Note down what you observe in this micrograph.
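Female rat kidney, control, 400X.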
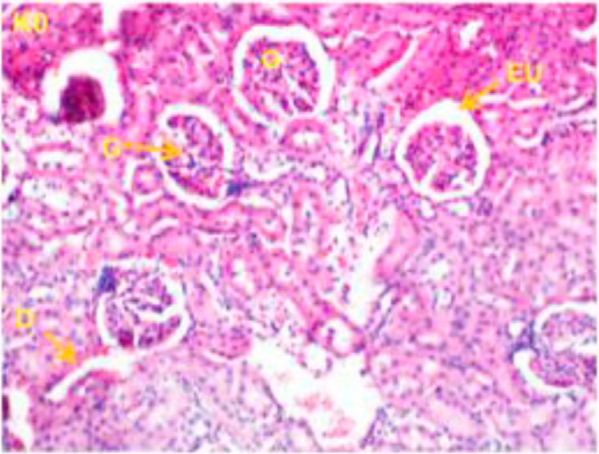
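Renal cortex with several round glomeruli, each a compact tuft of capillaries and nuclei enclosed by a thin capsule and separated from it by a clear white space. Around them lie cross- and oblique sections of convoluted tubules lined by cuboidal cells with pink cytoplasm and round purple nuclei, with small clusters of dark purple nuclei in the interstitium.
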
